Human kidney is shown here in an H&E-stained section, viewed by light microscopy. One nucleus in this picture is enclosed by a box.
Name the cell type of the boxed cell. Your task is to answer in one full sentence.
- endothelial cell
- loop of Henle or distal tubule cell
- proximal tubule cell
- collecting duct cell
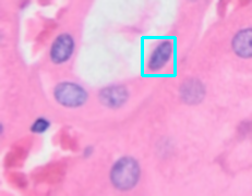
In the tissue at hand, the boxed cell is a loop of Henle or distal tubule cell.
